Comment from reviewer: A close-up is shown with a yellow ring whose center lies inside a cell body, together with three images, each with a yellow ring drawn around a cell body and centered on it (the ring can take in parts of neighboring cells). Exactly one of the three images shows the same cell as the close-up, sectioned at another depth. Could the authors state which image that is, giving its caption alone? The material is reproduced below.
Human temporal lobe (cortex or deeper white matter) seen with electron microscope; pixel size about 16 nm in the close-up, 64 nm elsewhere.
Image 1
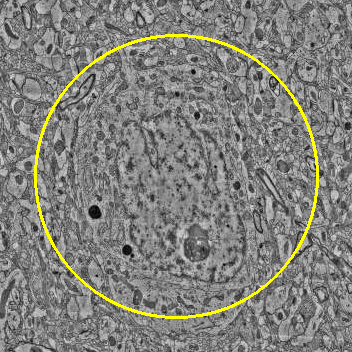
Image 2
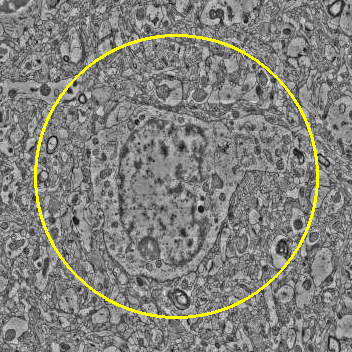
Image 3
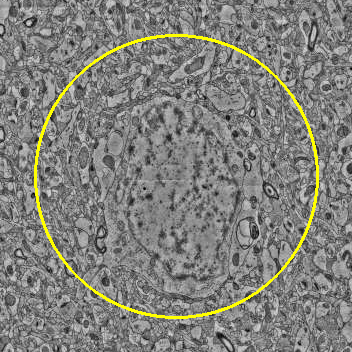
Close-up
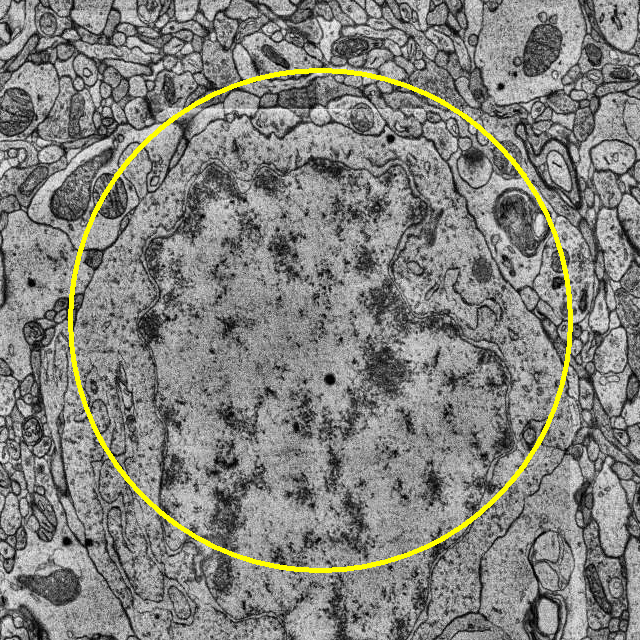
Image 3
